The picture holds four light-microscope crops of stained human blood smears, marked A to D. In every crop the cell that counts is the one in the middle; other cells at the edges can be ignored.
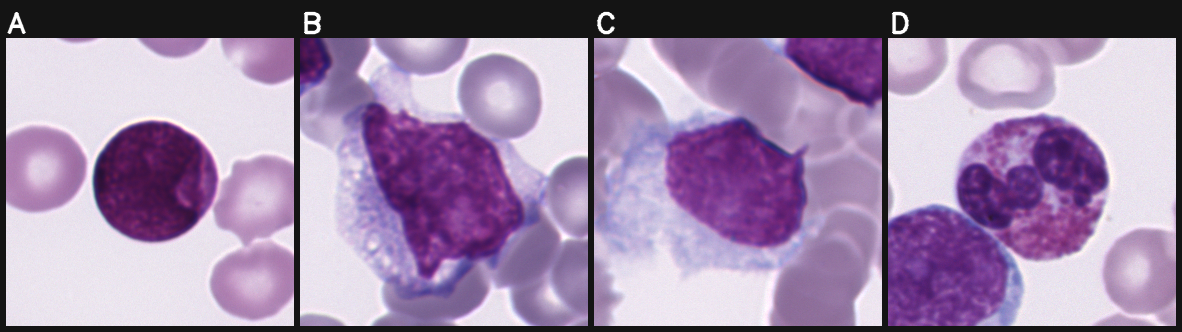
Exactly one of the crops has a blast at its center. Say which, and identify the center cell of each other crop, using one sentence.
Crop A counts as a blast, while crop B is a monocyte, crop C is a hairy cell and crop D is an eosinophil.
